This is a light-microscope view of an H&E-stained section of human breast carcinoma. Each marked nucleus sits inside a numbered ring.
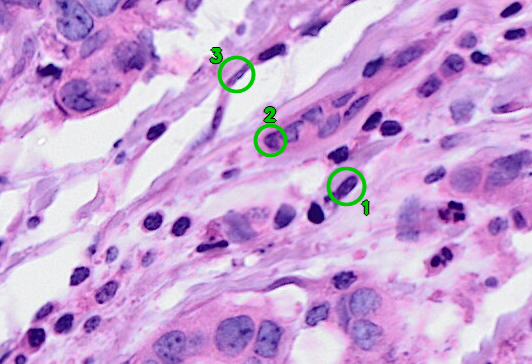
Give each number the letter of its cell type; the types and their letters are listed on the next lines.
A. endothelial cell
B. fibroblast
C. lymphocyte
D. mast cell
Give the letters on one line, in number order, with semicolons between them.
C; A; B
